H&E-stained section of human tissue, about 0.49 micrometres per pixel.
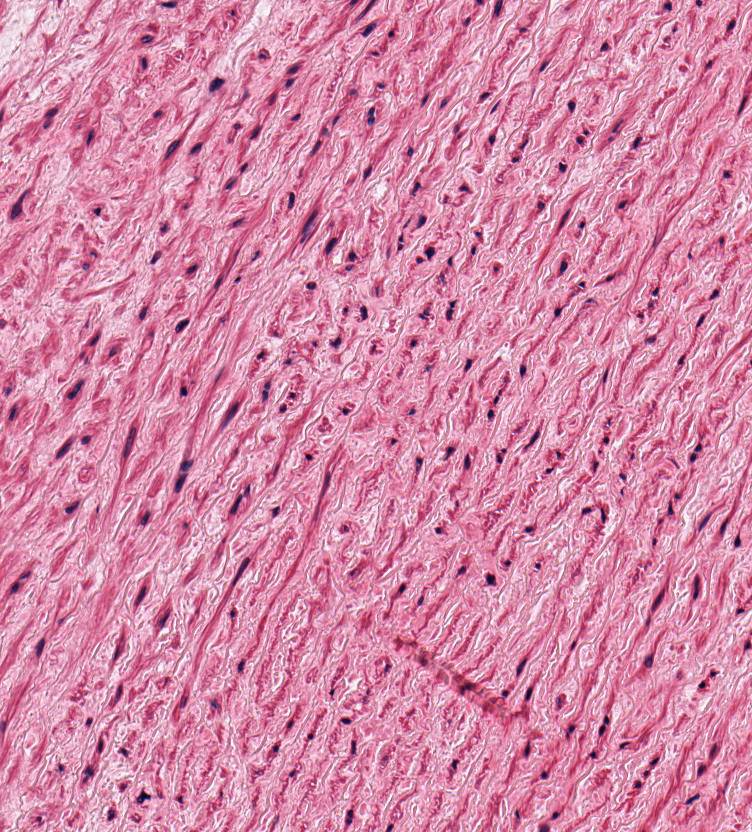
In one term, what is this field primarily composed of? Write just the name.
tunica media of an artery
